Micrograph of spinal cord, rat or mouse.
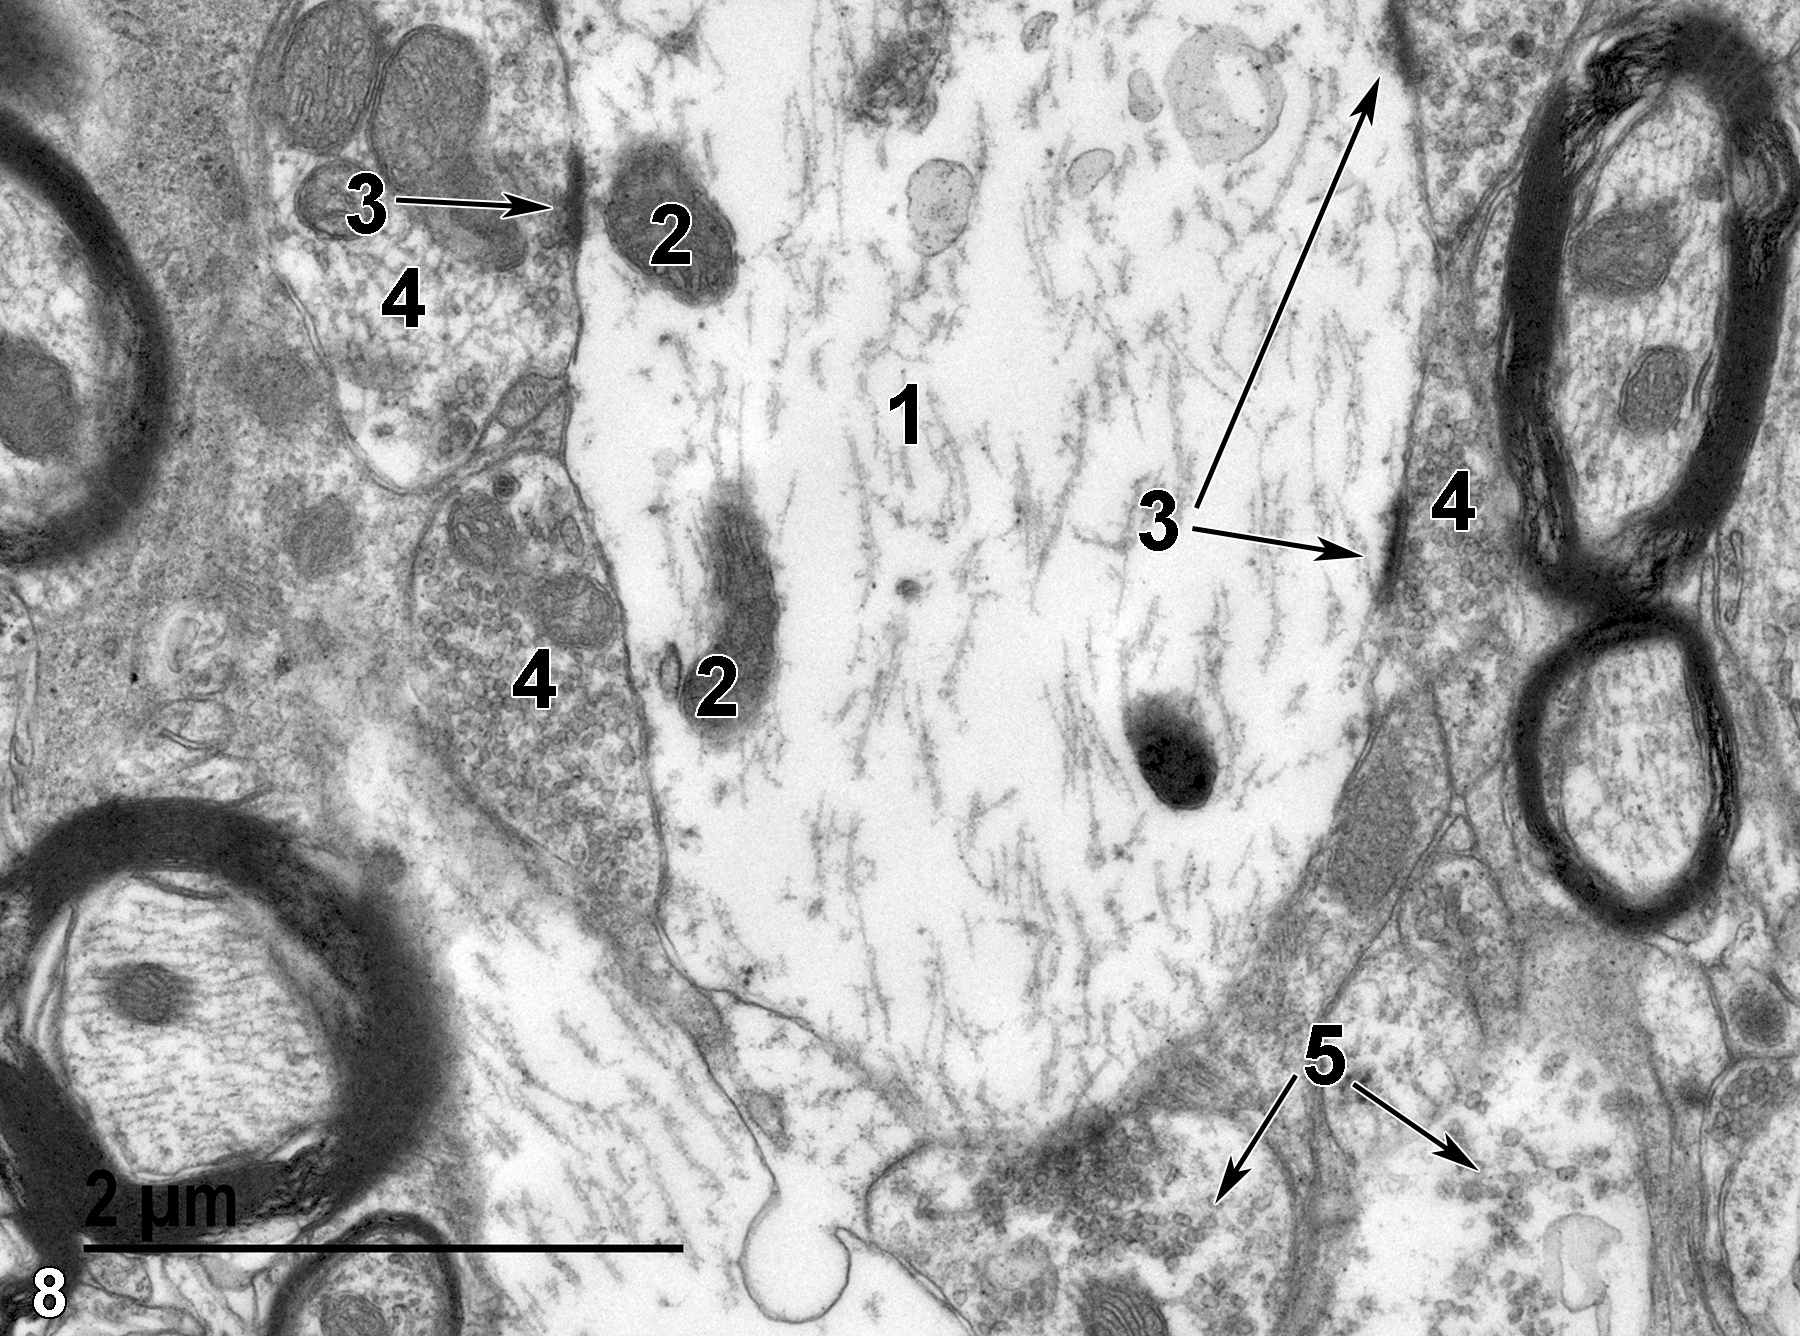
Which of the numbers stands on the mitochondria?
The mitochondria: 2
